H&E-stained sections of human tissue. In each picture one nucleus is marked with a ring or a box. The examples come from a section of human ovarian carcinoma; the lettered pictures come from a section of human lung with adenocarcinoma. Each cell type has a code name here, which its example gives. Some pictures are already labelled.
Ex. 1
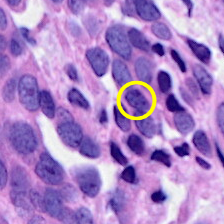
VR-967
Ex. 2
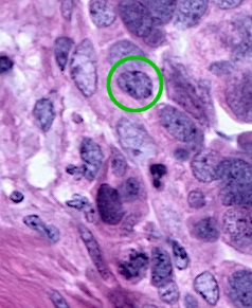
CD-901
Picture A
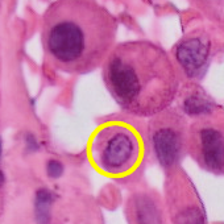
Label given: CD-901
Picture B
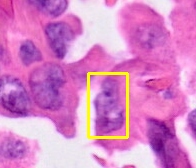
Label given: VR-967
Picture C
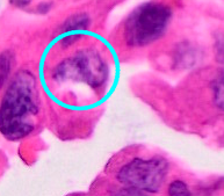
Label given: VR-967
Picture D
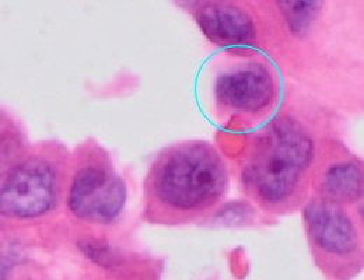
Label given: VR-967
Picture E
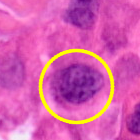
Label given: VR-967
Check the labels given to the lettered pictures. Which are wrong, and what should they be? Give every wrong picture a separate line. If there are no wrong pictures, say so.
All labels are correct.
